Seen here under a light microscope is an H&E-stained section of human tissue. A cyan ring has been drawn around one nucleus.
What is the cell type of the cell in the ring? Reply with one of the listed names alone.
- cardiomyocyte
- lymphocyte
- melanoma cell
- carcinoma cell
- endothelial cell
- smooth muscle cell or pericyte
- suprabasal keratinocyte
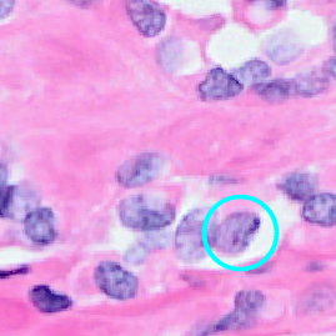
carcinoma cell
